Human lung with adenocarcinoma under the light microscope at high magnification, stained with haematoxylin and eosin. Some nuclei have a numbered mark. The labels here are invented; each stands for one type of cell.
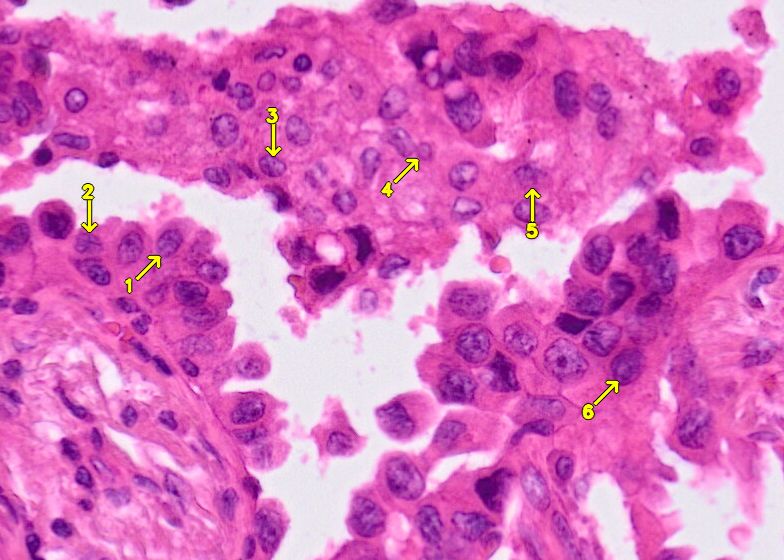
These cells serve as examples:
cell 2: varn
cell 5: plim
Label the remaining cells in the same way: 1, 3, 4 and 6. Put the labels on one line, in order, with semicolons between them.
varn; plim; plim; varn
